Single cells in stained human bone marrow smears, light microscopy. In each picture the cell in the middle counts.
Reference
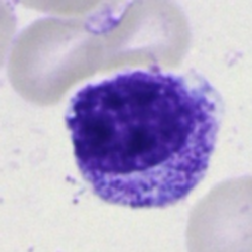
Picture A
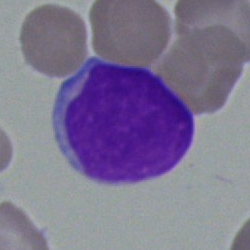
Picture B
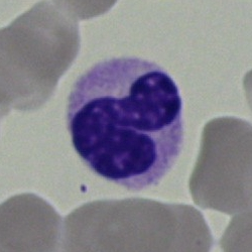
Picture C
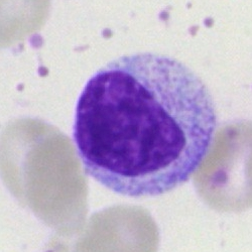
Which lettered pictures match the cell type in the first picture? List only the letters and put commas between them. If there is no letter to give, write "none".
C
